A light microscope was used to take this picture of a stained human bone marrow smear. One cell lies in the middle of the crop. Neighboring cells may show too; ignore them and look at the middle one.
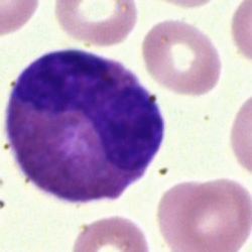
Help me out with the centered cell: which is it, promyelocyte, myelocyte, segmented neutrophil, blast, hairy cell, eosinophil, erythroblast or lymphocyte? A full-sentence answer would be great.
The cell found in the middle of this crop is an eosinophil.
